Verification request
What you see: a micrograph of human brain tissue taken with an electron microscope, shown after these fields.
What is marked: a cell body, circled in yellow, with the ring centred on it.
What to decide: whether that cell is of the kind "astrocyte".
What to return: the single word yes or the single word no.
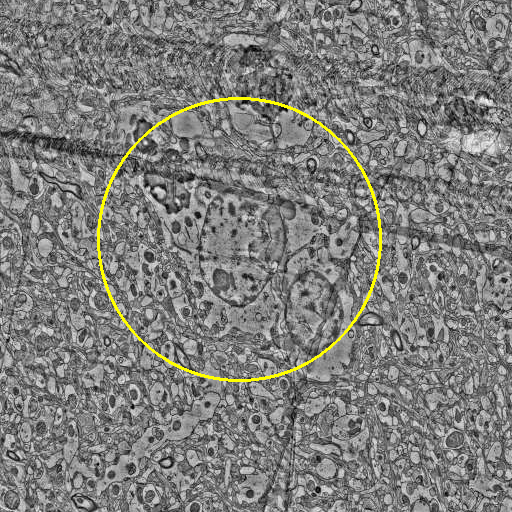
yes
